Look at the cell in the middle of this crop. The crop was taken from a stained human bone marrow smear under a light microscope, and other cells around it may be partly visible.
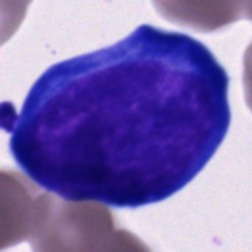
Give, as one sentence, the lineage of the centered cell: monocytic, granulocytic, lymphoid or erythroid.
The lineage of the cell at the center of the crop is erythroid.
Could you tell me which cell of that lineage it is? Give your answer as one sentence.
As for the cell in the middle, it is a proerythroblast.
